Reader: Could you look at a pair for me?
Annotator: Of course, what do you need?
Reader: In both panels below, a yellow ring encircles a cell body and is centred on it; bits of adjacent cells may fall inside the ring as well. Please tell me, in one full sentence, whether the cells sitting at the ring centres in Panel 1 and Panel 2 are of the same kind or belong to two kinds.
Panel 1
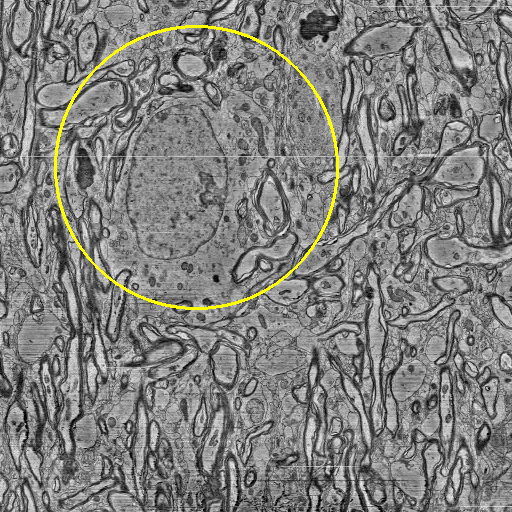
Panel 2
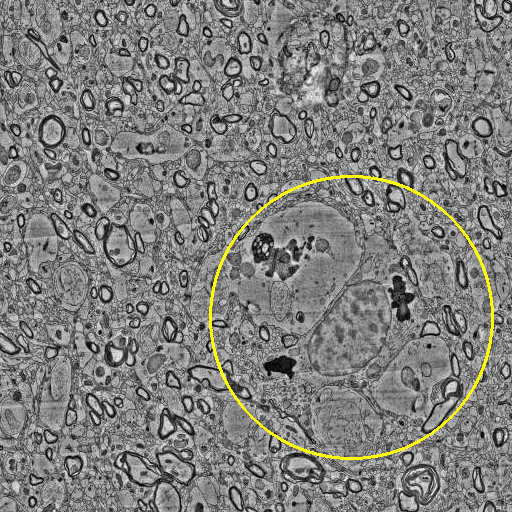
The cell at the ring's centre in Panel 1 and the one in Panel 2 belong to two kinds.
